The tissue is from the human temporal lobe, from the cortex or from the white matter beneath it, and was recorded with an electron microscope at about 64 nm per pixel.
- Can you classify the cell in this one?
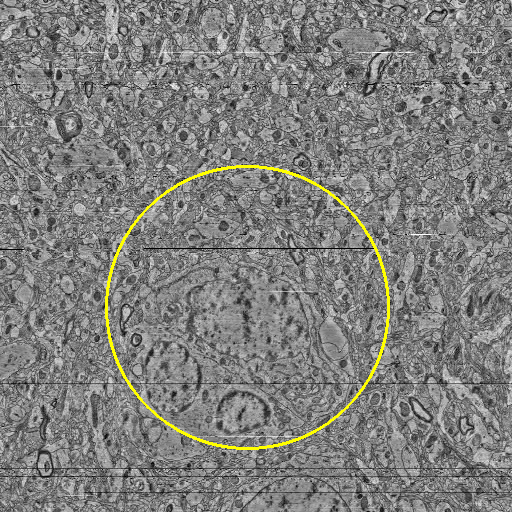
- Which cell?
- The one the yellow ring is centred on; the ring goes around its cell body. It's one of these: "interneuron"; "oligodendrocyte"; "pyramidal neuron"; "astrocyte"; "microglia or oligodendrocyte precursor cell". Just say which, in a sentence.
The cell body in the ring belongs to an interneuron.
